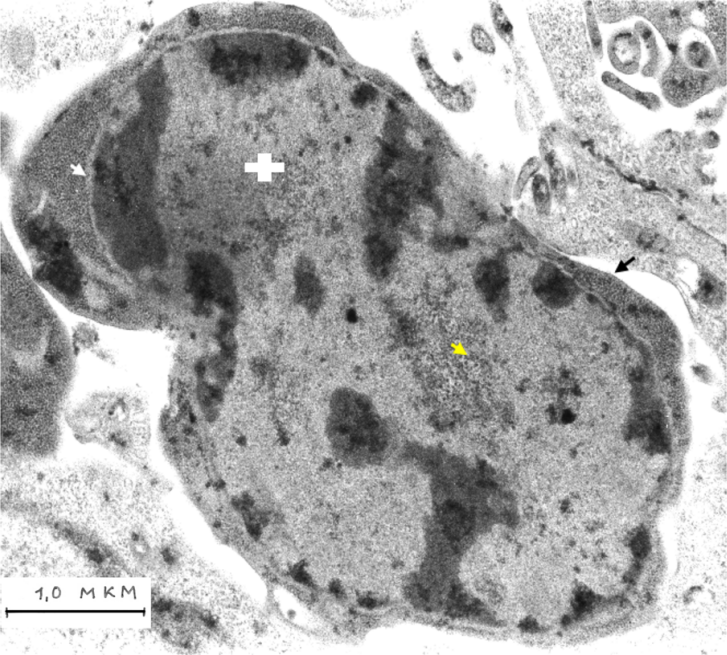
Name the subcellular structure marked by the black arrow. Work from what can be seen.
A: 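The arrow points at the outermost edge of the cell. Beyond it lies pale extracellular space. That points to this answer: cell membrane.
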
